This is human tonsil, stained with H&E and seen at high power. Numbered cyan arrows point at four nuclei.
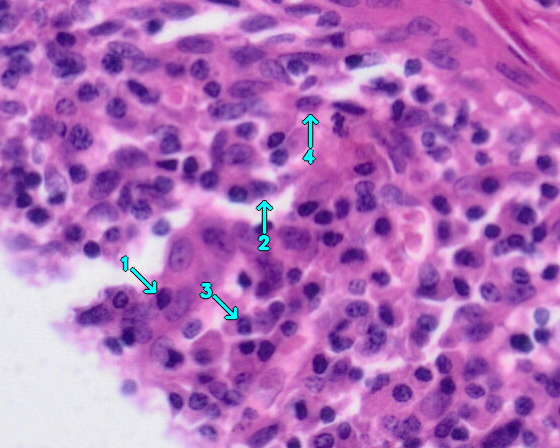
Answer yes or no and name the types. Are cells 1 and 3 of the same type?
No, the cell labelled 1 is a squamous epithelial cell; the cell labelled 3 is a plasma cell.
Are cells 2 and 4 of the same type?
Yes, cells 2 and 4 are both squamous epithelial cells and thus of one type.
